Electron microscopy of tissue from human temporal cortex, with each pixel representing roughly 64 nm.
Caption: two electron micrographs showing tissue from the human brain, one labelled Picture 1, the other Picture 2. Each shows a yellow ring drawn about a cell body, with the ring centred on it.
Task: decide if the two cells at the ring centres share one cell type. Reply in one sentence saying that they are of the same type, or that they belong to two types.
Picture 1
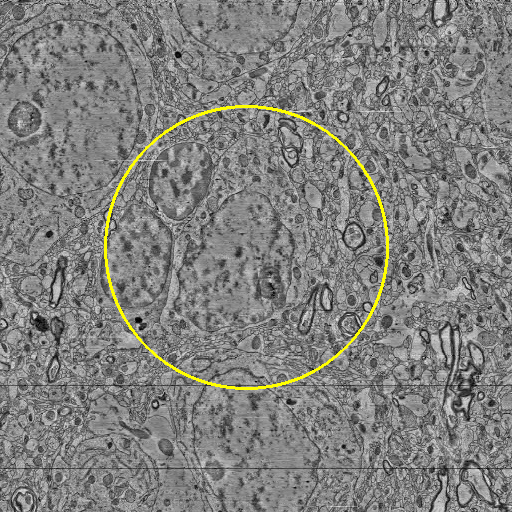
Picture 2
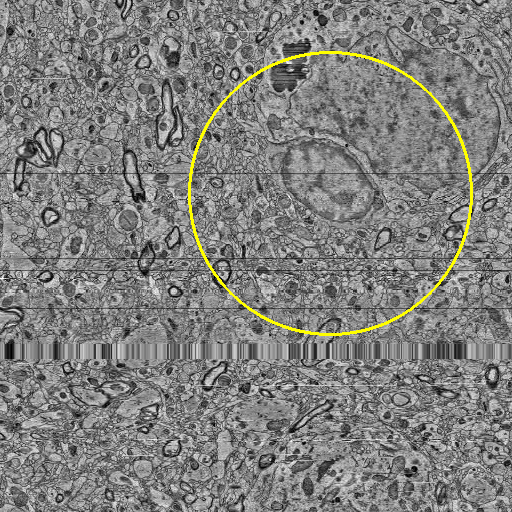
The cells at the ring centres in Picture 1 and Picture 2 belong to two types.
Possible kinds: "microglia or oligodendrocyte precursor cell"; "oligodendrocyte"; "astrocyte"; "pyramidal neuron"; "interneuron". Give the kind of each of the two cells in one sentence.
The cell in the second picture is an oligodendrocyte, and that in the first is an interneuron.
